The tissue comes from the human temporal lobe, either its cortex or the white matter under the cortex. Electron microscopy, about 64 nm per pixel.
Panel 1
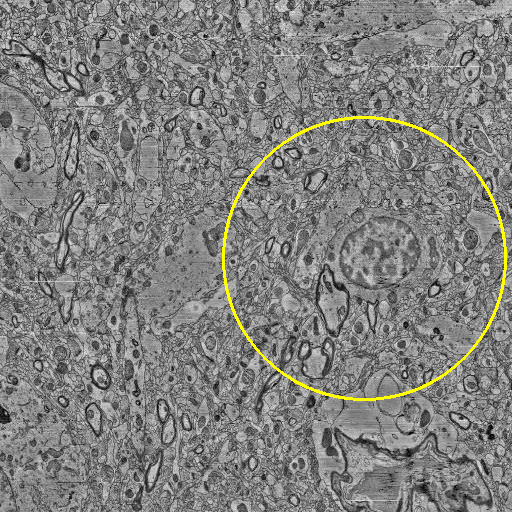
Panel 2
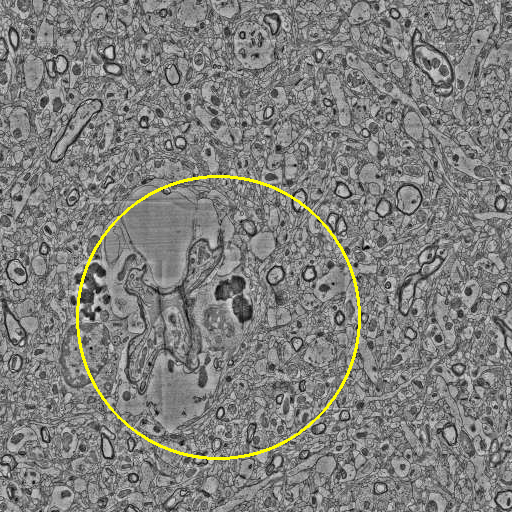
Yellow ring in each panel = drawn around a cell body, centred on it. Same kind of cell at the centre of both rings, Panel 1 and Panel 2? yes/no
yes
